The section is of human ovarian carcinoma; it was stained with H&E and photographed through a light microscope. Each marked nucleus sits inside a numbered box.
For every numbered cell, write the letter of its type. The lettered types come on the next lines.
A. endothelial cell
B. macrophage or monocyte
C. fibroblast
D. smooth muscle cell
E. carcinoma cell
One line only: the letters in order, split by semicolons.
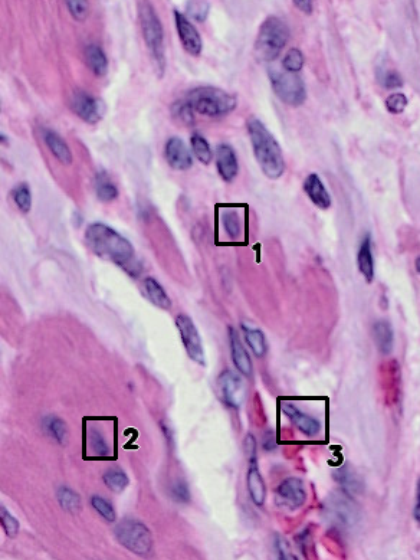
D; D; A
